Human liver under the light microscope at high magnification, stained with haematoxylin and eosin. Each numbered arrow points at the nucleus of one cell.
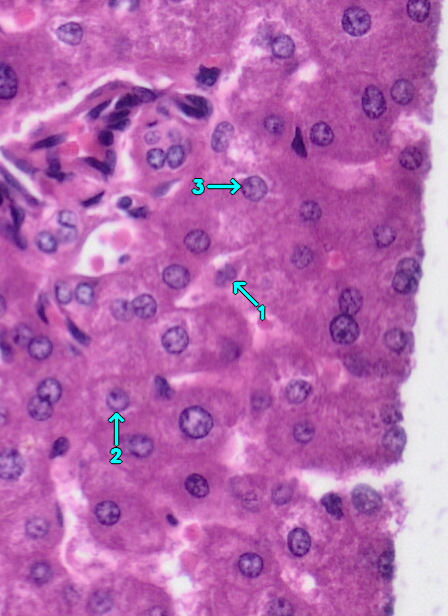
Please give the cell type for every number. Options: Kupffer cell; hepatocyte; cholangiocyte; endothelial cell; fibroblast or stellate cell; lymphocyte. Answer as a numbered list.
1. Kupffer cell
2. hepatocyte
3. hepatocyte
